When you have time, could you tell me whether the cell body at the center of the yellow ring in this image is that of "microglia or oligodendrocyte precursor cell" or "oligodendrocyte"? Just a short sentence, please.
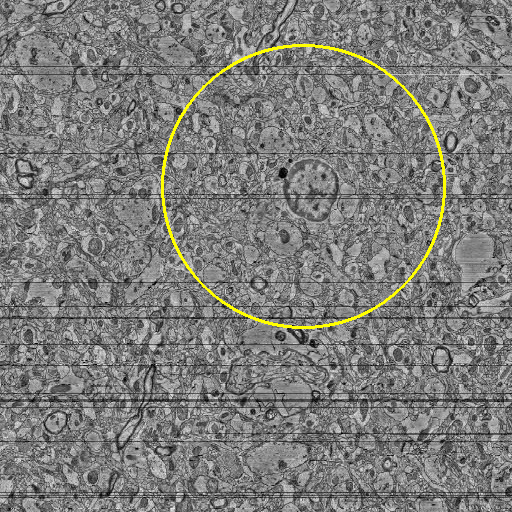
The cell body at the center of the ring is that of a microglial cell or oligodendrocyte precursor cell.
